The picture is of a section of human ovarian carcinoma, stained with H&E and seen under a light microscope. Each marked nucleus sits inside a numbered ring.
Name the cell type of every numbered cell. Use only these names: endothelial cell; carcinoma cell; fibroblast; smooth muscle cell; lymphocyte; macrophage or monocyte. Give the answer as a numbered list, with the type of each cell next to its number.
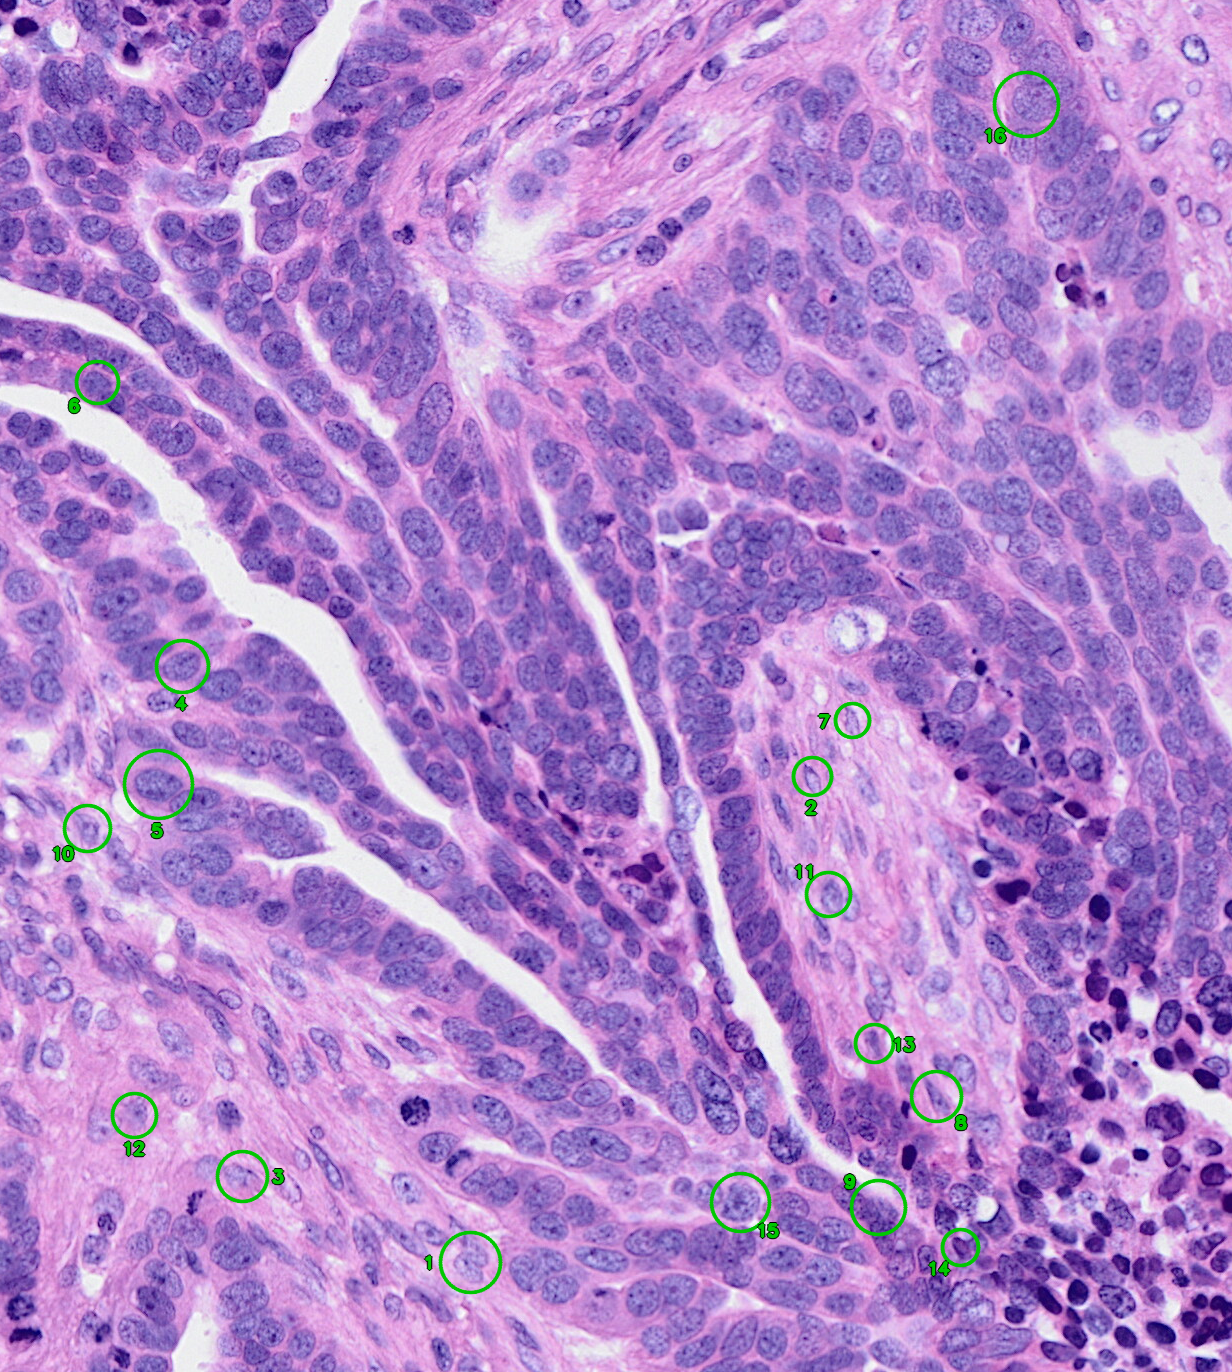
1. fibroblast
2. fibroblast
3. fibroblast
4. carcinoma cell
5. carcinoma cell
6. carcinoma cell
7. fibroblast
8. fibroblast
9. carcinoma cell
10. fibroblast
11. fibroblast
12. fibroblast
13. fibroblast
14. carcinoma cell
15. carcinoma cell
16. carcinoma cell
